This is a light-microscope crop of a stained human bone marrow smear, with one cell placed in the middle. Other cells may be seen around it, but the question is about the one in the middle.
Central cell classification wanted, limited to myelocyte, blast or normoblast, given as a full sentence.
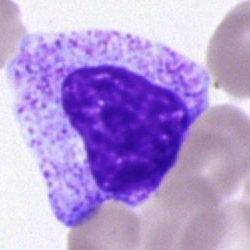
Answering briefly, the cell in the middle is a myelocyte.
